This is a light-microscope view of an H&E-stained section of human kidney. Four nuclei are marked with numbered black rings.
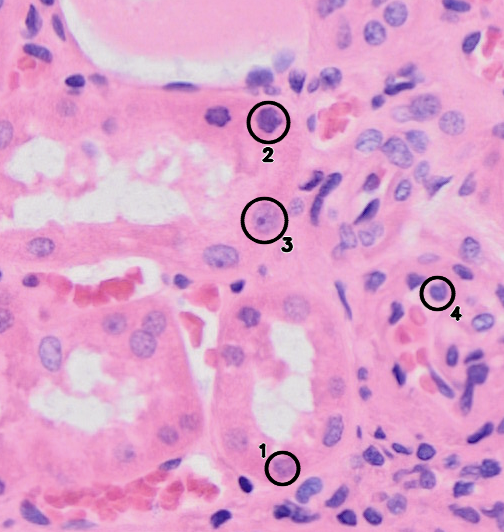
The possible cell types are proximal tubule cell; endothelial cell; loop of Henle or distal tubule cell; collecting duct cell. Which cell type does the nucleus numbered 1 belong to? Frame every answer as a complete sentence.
The cell with the number 1 is a proximal tubule cell.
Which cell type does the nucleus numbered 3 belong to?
The cell that carries the label 3 is a proximal tubule cell.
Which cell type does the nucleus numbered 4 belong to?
Of the numbered cells, the one labelled 4 is an endothelial cell.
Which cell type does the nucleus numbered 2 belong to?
The cell pointed out as number 2 is a proximal tubule cell.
